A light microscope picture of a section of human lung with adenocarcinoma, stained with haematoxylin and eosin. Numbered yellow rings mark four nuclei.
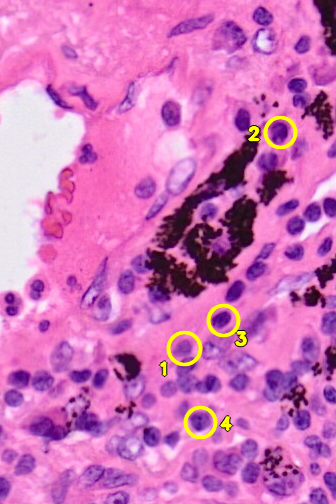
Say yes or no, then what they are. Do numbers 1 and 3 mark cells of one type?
Yes, cells 1 and 3 are both identified as lymphocytes.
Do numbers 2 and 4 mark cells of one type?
No, the cell numbered 2 is a plasma cell, and the cell numbered 4 is a lymphocyte.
